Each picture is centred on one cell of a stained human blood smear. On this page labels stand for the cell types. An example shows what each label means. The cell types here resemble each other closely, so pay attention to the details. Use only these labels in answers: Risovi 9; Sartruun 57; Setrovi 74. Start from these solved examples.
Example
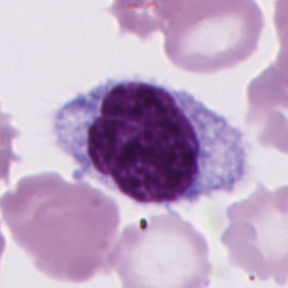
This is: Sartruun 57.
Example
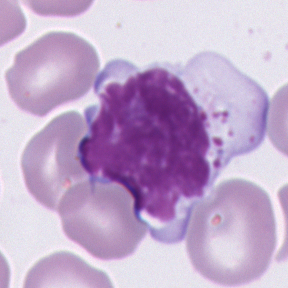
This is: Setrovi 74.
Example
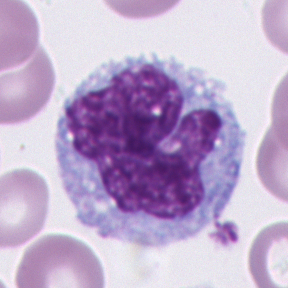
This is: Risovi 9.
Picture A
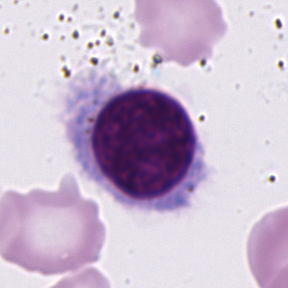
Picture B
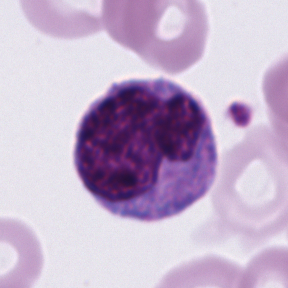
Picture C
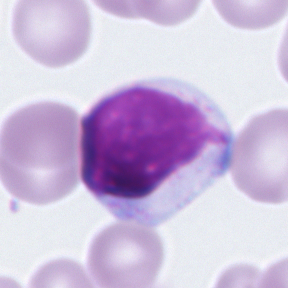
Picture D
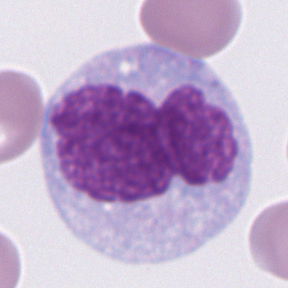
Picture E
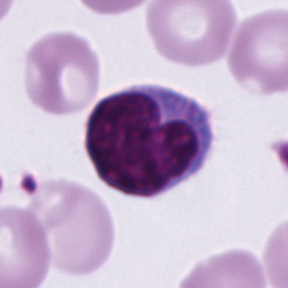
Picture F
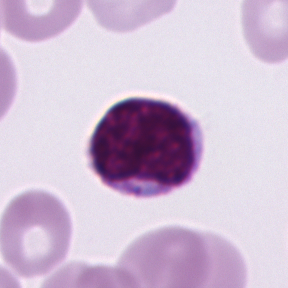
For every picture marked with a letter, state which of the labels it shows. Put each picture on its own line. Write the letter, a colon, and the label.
A: Sartruun 57.
B: Risovi 9.
C: Setrovi 74.
D: Risovi 9.
E: Setrovi 74.
F: Setrovi 74.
